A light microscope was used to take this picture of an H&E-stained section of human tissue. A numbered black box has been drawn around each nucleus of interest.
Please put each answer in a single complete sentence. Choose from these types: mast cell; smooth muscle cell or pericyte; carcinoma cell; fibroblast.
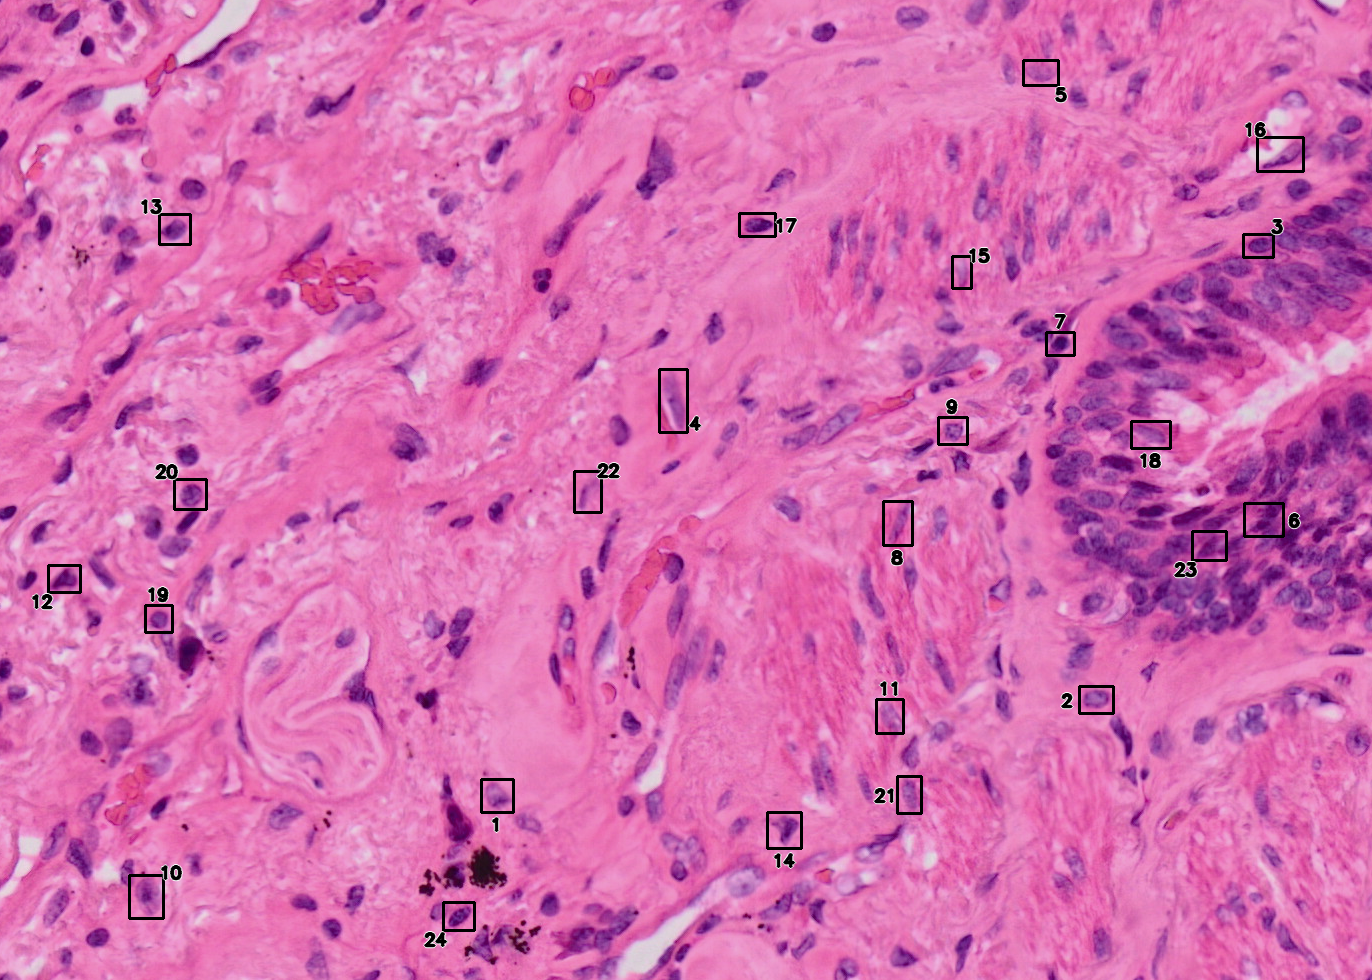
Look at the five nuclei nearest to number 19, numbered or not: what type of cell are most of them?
Around number 19, most of the five nearest nuclei are those of fibroblasts.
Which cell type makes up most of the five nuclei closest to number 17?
Smooth muscle cells or pericytes make up most of the five nuclei closest to number 17.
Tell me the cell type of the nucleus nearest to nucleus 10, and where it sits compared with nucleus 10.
Lying above and to the left of nucleus 10, the nearest nucleus is that of a fibroblast.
